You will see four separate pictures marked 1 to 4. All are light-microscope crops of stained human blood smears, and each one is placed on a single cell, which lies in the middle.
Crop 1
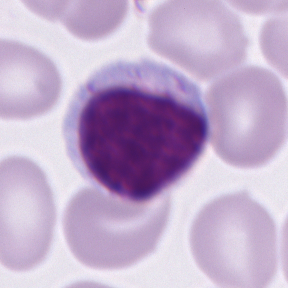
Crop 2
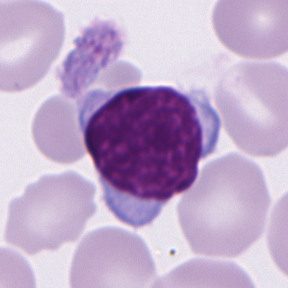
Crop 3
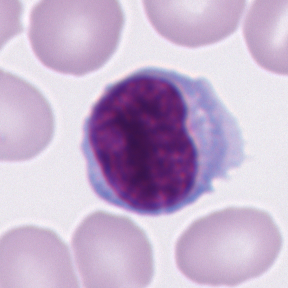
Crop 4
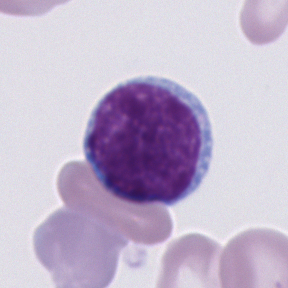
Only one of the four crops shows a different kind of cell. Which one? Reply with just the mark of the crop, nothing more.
1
